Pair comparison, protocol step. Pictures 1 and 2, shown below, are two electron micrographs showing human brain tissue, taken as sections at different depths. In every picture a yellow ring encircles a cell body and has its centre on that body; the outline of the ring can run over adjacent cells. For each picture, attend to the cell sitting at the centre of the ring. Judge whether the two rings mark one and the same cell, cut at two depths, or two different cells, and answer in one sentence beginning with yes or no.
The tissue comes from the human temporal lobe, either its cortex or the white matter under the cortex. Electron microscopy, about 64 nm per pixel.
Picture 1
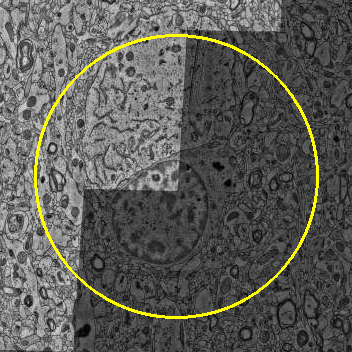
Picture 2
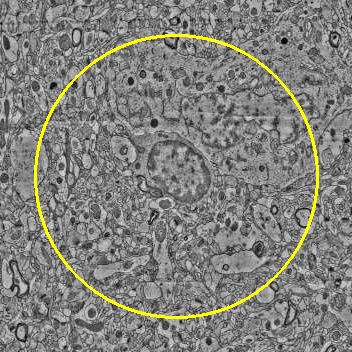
No, there are two different cells marked by the rings.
